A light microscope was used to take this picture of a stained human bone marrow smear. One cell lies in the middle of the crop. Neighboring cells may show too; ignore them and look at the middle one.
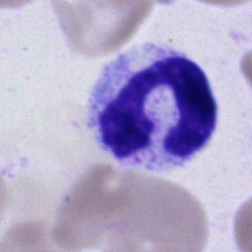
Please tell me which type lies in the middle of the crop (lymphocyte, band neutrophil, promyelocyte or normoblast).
band neutrophil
